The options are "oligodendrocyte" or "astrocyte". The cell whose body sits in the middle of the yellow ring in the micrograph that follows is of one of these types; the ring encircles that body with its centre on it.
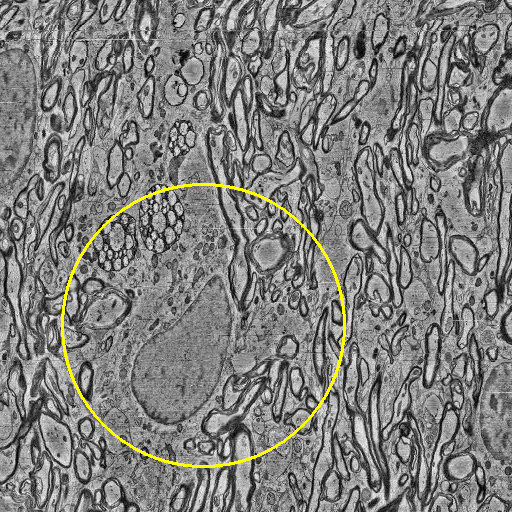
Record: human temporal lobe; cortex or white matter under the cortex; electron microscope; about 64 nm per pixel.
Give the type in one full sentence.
Going by the micrograph, the cell centred in the yellow ring is an astrocyte.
